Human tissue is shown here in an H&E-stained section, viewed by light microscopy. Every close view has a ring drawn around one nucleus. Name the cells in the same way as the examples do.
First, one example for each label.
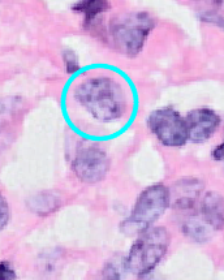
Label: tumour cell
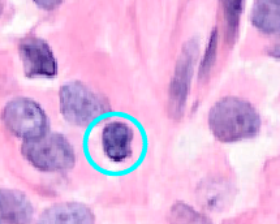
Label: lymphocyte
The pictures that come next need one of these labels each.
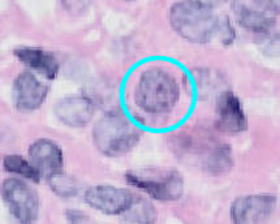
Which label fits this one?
tumour cell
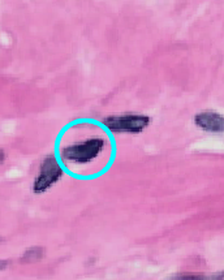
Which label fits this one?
lymphocyte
